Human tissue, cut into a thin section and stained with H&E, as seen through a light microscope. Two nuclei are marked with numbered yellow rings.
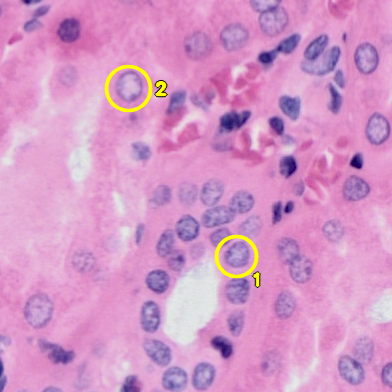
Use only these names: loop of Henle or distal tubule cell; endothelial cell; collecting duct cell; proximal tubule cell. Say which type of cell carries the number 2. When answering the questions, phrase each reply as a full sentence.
The expected answer is that cell 2 is a proximal tubule cell.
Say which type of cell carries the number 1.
Identified as a collecting duct cell is the cell bearing the number 1.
